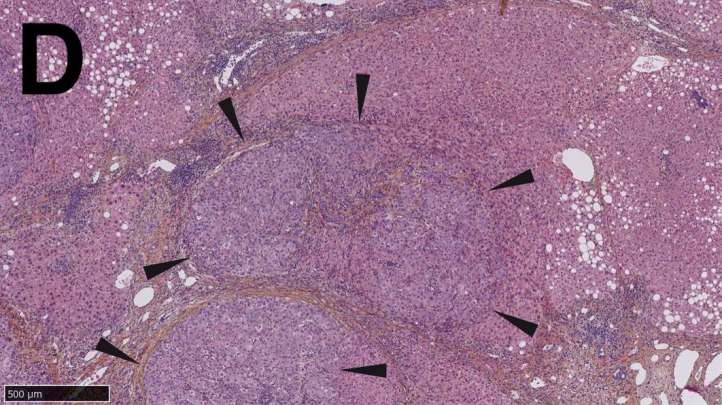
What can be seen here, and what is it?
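This is scarred liver in which a rounded nodule holds a tumour of liver cells, set apart from the surrounding liver. The tumour area stains a denser purple and its cells are packed in an altered pattern, while the pink liver around it, beyond fibrous bands, contains many clear fat vacuoles. Bands of red-brown fibrous tissue with scattered inflammatory cells wrap around the nodules.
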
